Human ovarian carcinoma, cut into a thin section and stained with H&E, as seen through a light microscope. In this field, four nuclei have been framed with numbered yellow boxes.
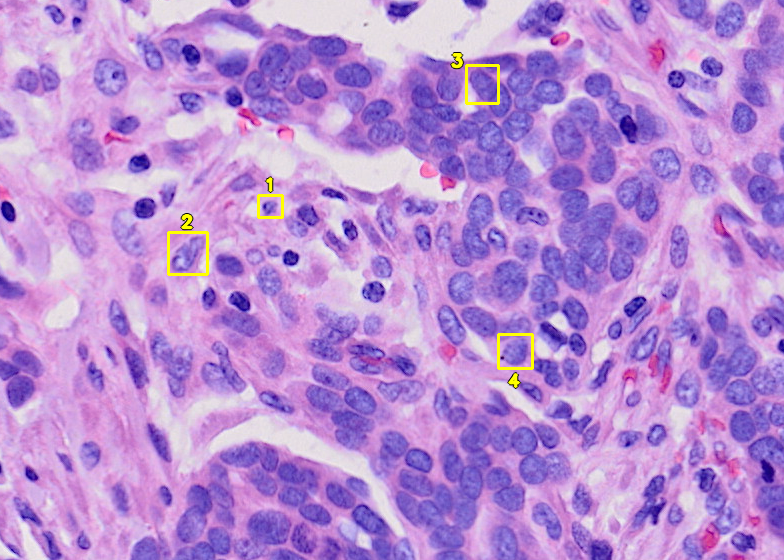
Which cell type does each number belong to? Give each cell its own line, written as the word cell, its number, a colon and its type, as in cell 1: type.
cell 1: lymphocyte
cell 2: fibroblast
cell 3: carcinoma cell
cell 4: carcinoma cell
